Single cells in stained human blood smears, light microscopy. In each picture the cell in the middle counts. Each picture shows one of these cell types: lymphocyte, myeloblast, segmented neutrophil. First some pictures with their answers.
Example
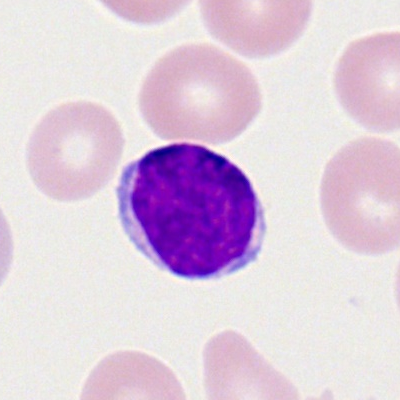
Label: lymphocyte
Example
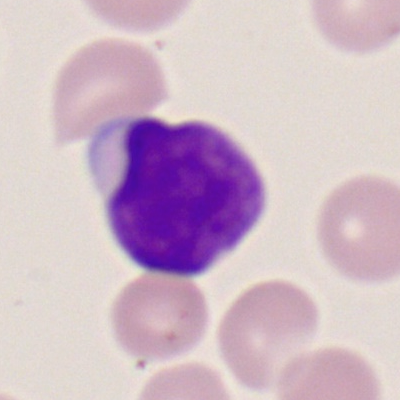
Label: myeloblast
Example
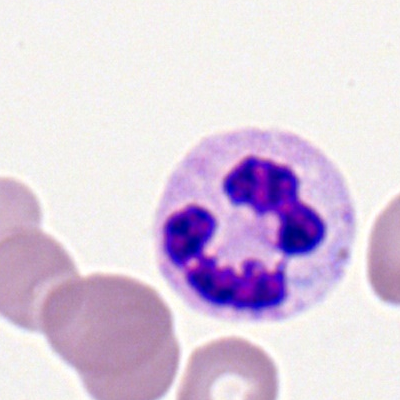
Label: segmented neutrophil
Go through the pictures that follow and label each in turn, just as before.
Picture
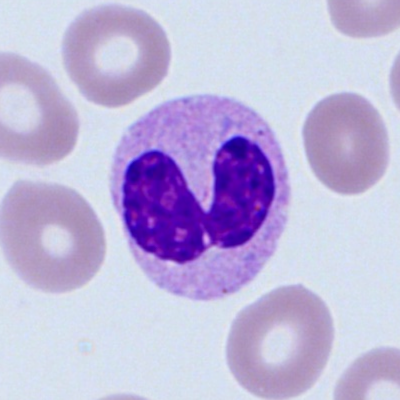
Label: segmented neutrophil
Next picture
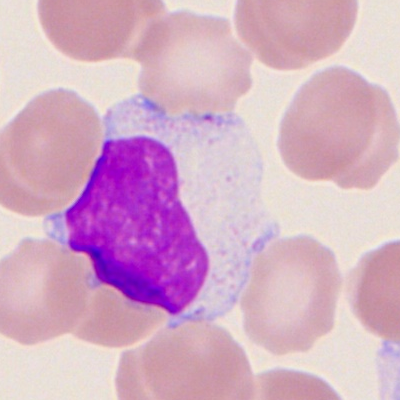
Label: lymphocyte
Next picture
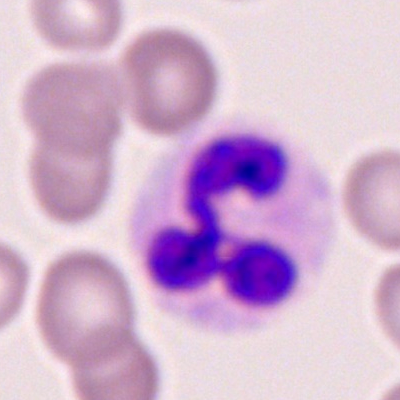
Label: segmented neutrophil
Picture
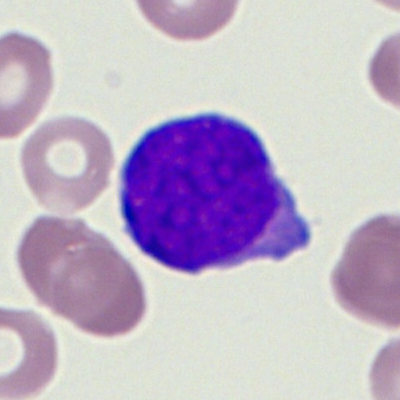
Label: myeloblast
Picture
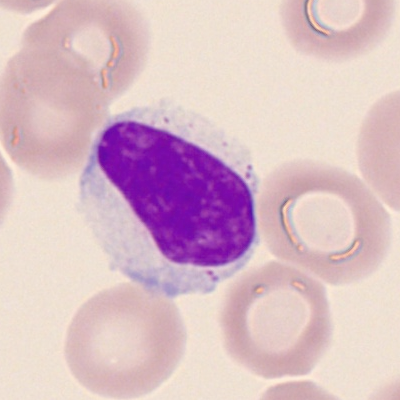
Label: lymphocyte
